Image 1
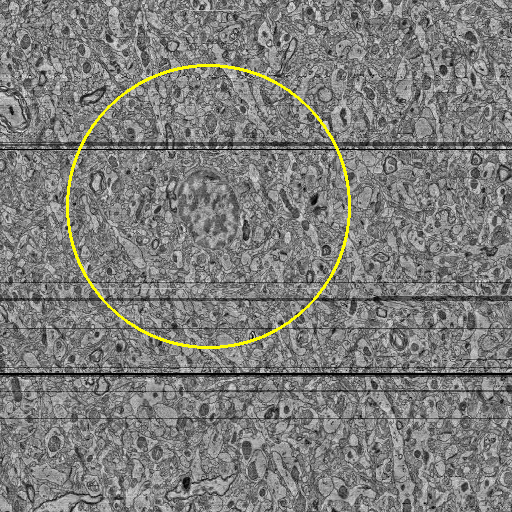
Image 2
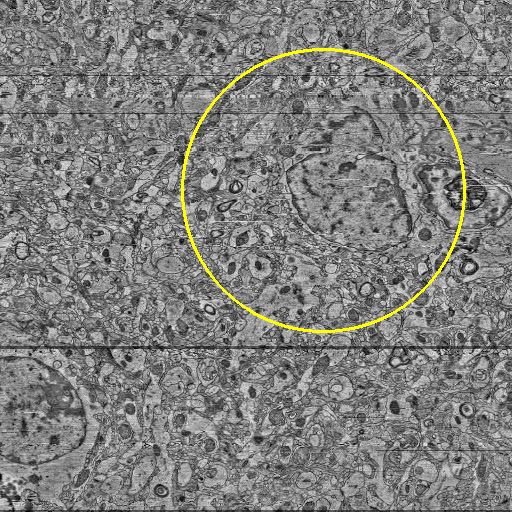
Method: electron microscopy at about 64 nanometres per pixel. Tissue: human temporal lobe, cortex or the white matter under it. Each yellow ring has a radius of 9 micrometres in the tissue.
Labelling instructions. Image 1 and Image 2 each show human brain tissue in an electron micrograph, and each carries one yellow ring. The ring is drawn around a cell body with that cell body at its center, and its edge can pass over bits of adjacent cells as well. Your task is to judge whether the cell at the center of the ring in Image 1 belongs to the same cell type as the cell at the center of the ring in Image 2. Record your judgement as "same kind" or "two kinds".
two kinds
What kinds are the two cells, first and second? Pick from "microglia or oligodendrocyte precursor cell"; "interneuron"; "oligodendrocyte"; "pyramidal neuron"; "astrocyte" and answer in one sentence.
The second picture holds a microglial cell or oligodendrocyte precursor cell in its ring, and the first holds an oligodendrocyte.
